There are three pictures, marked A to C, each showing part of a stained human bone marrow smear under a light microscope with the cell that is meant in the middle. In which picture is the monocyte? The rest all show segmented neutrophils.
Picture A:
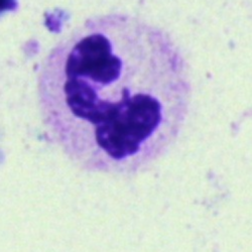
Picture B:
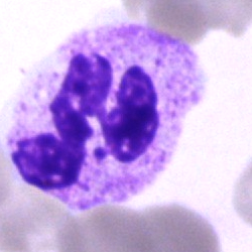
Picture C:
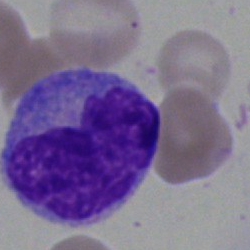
C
